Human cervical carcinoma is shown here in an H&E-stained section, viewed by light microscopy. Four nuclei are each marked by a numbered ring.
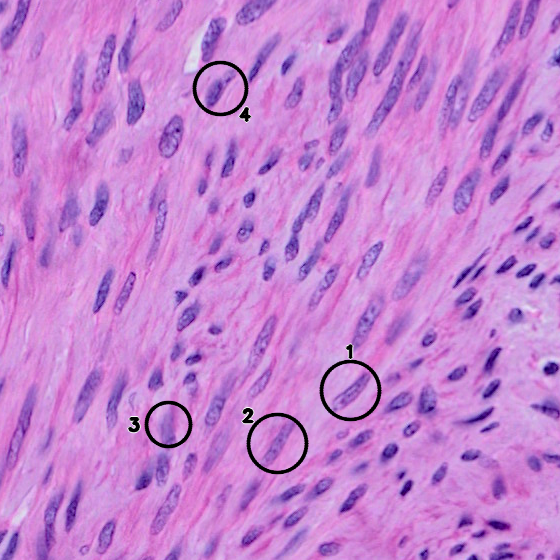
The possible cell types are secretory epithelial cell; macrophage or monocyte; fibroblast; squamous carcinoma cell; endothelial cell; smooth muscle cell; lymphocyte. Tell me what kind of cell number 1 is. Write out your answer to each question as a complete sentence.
The cell that bears the number 1 is a smooth muscle cell.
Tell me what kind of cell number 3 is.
The numbered cell 3 is identified here as a smooth muscle cell.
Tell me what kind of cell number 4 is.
The marked nucleus 4 is that of a fibroblast.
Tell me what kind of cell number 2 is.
Cell 2 is classified as a smooth muscle cell.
